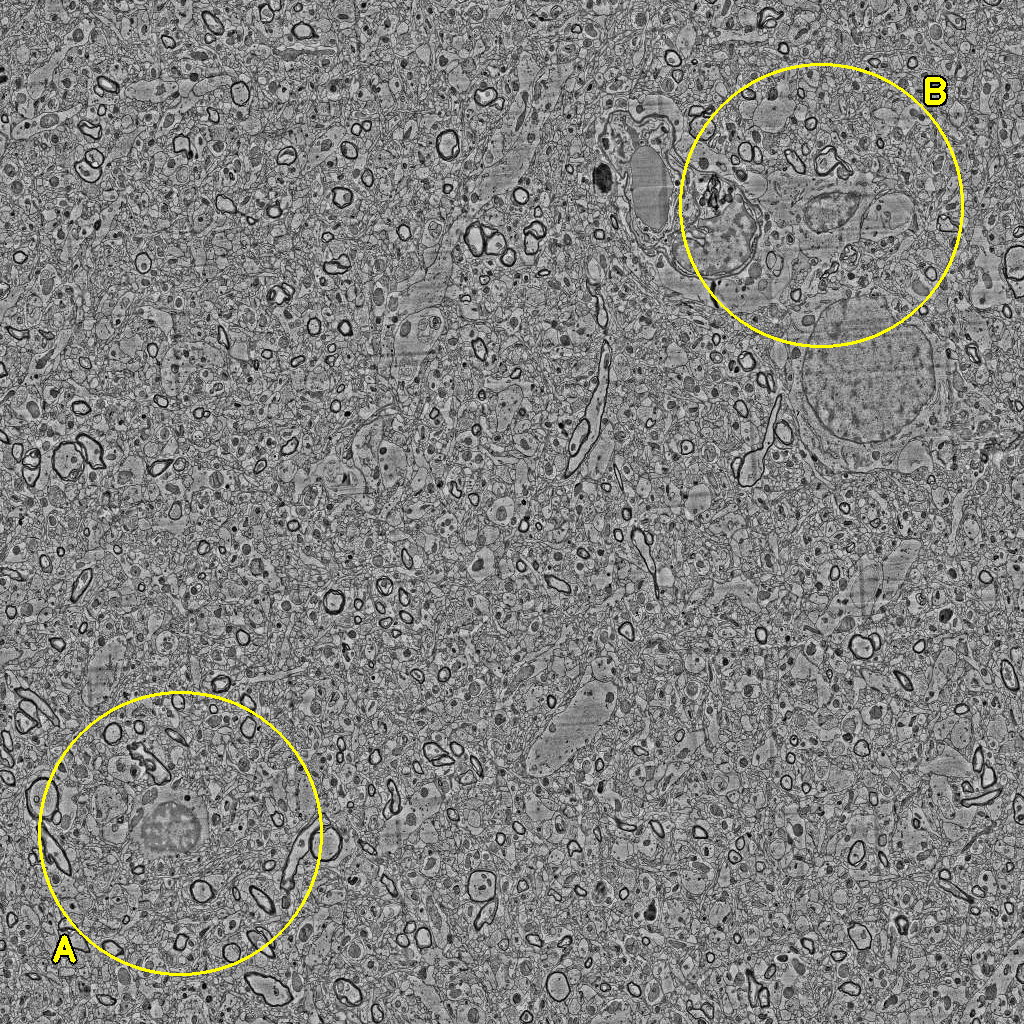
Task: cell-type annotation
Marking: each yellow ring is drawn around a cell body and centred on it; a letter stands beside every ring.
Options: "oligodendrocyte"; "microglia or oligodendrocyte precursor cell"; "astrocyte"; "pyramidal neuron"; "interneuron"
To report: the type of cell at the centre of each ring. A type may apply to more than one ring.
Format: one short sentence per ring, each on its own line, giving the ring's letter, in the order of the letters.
Ring A is centred on an oligodendrocyte.
Ring B is centred on a microglial cell or oligodendrocyte precursor cell.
